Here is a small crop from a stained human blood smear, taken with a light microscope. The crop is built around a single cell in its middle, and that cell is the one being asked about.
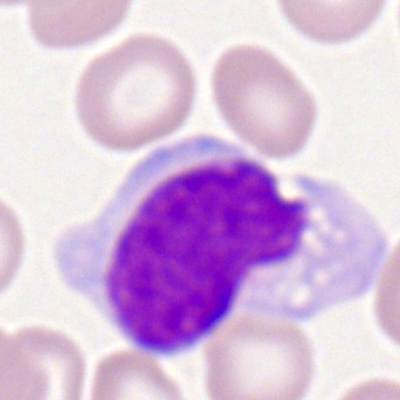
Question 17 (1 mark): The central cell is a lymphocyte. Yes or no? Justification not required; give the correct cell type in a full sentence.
No, the centered cell is a monocyte and not a lymphocyte at all.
